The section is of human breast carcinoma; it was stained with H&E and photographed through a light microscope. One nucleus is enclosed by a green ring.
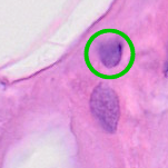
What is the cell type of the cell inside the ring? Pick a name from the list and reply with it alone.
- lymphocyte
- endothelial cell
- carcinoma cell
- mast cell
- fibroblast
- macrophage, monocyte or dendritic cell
fibroblast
